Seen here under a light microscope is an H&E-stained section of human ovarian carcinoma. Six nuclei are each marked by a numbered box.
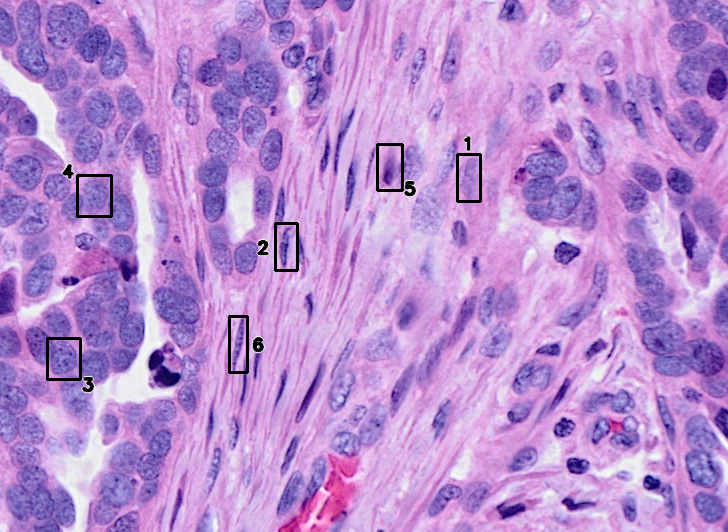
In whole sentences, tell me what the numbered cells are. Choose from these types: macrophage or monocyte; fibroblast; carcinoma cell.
Cell 1 is a fibroblast, cell 2 is a fibroblast, cell 3 is a carcinoma cell, cell 4 is a carcinoma cell, cell 5 is a fibroblast and cell 6 is a fibroblast.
